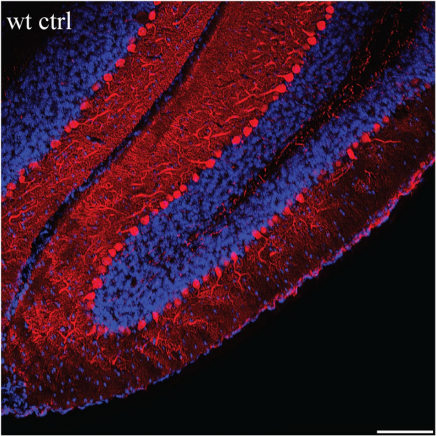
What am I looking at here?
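Cerebellar folia with Purkinje cells lining the granule cell layer. Large, rounded red cell bodies are arranged in a single, fairly evenly spaced row at the border of the blue granule cell layer, which consists of densely packed small blue nuclei. From the red cell bodies, branching red dendrites extend outward through the molecular layer, forming a dense red meshwork with fewer, scattered blue nuclei. Two adjacent folds are seen, separated by a narrow cleft, each showing the same layered order from outer red molecular layer through the row of Purkinje cells to the inner granule cell layer.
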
